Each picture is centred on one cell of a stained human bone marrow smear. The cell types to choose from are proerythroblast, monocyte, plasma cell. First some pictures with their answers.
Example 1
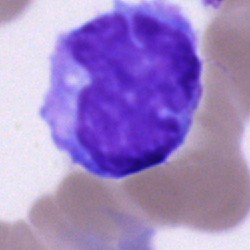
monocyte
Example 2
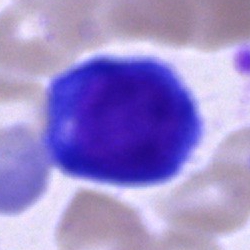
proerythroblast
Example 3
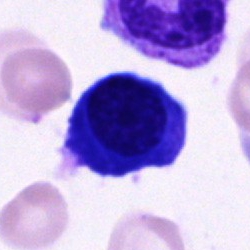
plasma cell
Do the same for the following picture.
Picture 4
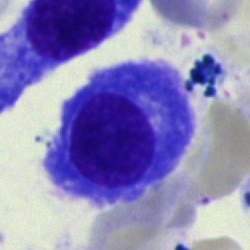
plasma cell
